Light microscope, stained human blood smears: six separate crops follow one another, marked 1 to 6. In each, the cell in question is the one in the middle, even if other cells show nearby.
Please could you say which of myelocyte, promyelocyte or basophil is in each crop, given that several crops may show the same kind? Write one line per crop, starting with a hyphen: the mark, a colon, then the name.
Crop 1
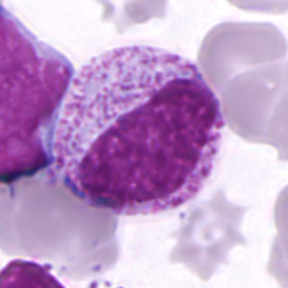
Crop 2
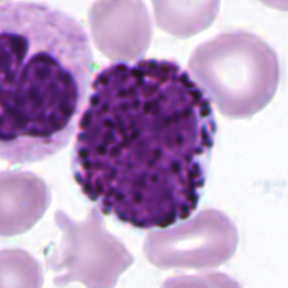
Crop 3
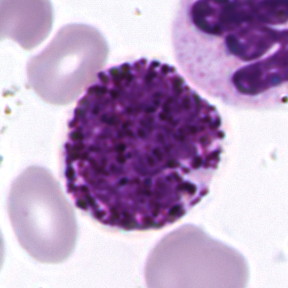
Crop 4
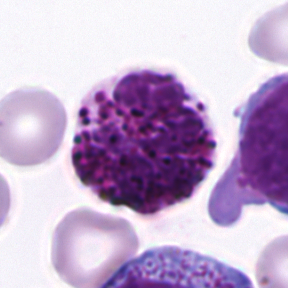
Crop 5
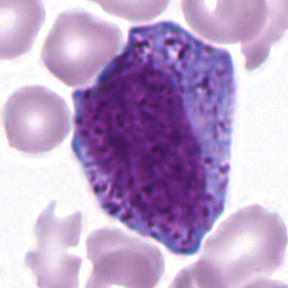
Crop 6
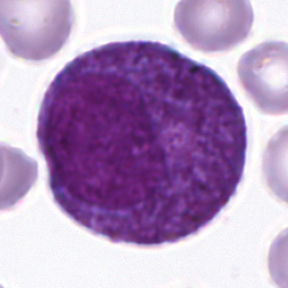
- 1: myelocyte
- 2: basophil
- 3: basophil
- 4: basophil
- 5: promyelocyte
- 6: promyelocyte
